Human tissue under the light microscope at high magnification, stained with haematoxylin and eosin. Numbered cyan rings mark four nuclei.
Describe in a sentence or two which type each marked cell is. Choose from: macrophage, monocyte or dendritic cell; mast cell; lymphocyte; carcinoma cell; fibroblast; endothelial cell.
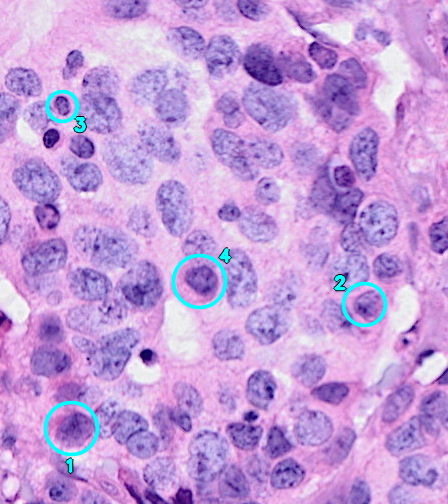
Cells 1, 2 and 4 are carcinoma cells. Cell 3 is a lymphocyte.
